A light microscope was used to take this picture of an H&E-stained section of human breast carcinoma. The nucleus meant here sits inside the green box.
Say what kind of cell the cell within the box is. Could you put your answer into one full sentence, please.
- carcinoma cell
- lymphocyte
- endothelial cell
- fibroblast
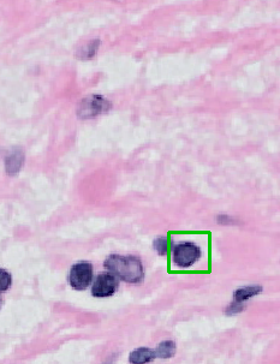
It is a lymphocyte that the cell within the box represents.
